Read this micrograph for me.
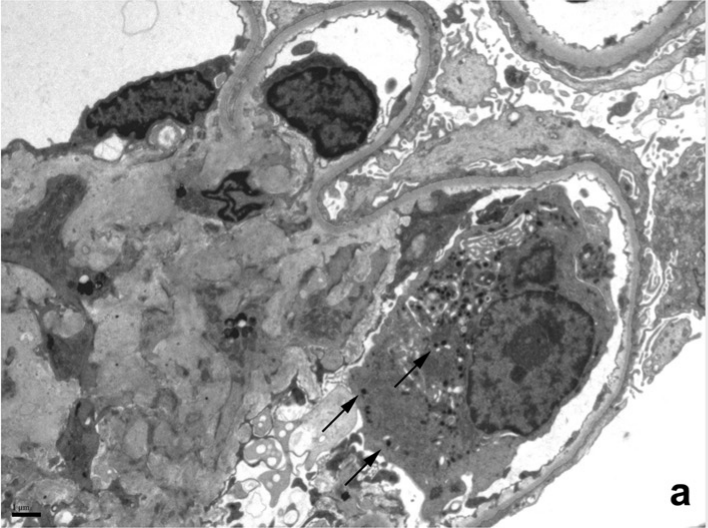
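A glomerulus in which a large cell sits within a capillary lumen, its cytoplasm crowded with pale vesicles and scattered small electron-dense granules beside a large rounded nucleus. The capillary loops are bounded by thick basement membranes, and the area between loops to the left is widened by abundant grey matrix with embedded cells.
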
